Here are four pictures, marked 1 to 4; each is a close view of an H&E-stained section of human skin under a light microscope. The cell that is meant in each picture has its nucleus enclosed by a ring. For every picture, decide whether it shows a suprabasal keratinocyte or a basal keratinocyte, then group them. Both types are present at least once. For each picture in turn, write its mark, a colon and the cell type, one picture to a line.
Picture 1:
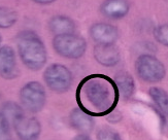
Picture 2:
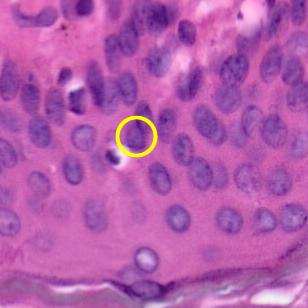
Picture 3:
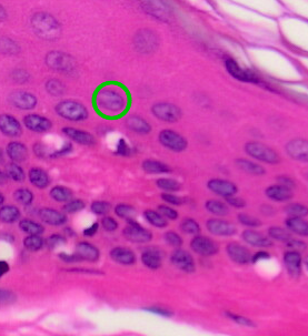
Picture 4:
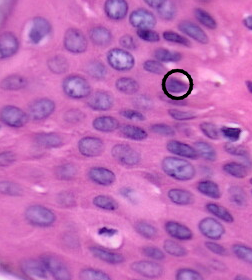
1: basal keratinocyte
2: basal keratinocyte
3: suprabasal keratinocyte
4: basal keratinocyte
